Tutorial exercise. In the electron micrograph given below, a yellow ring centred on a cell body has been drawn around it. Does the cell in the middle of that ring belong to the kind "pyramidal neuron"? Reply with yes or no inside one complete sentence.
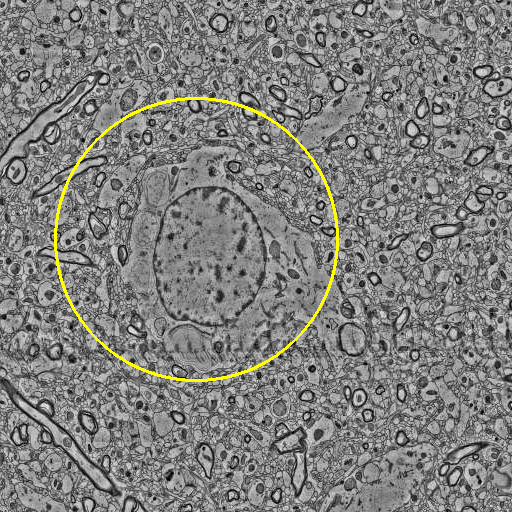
No, the cell at the centre of the ring in the picture is of a different kind.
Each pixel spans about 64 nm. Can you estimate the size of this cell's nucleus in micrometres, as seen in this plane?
In this plane, the nucleus of the cell at the centre of the ring measures about 9 by 7 micrometres.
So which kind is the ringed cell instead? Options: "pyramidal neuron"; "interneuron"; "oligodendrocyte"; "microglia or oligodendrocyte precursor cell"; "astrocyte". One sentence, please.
It is an astrocyte that the ring is centred on.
